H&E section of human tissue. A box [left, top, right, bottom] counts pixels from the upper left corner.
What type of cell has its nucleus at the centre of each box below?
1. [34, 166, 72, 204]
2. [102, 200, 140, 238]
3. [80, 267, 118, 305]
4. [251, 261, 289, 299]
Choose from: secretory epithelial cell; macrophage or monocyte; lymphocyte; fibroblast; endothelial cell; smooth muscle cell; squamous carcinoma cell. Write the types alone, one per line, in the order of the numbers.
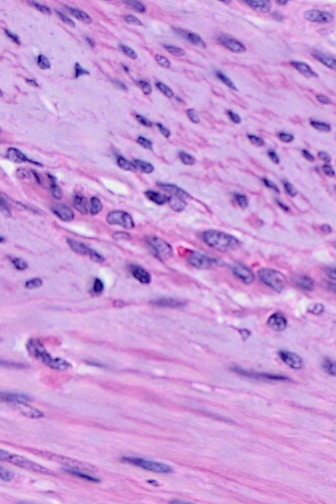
endothelial cell
endothelial cell
lymphocyte
endothelial cell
